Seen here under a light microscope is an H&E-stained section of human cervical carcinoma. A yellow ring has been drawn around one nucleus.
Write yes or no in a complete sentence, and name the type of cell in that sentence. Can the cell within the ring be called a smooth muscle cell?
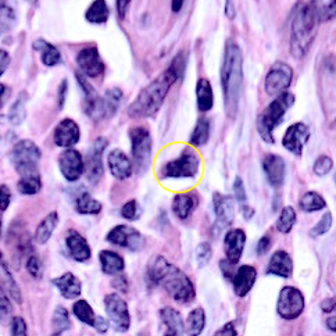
No, the cell within the ring is a lymphocyte; calling it a smooth muscle cell would be wrong.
